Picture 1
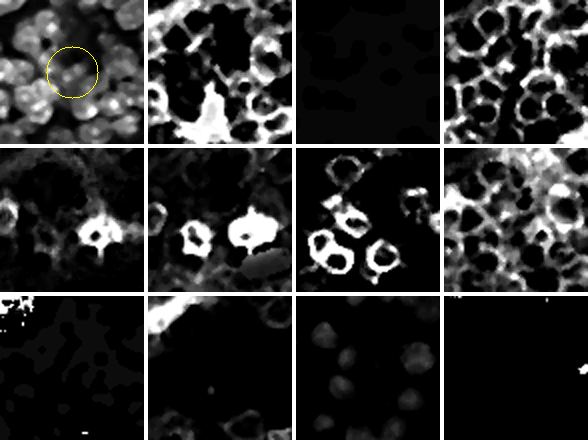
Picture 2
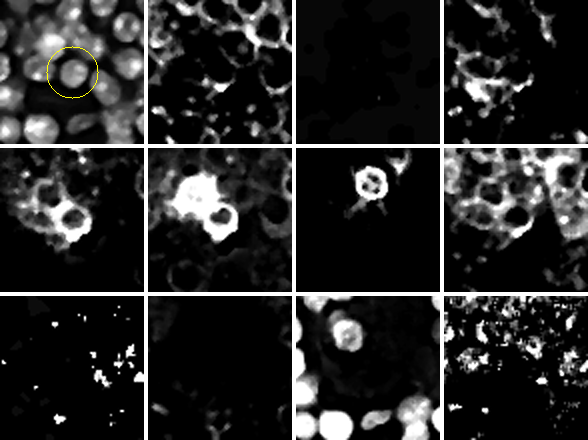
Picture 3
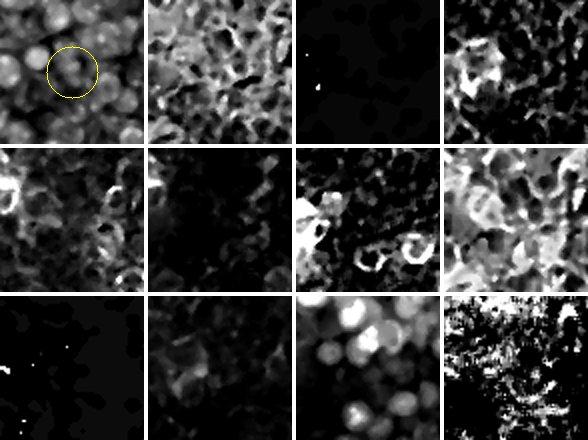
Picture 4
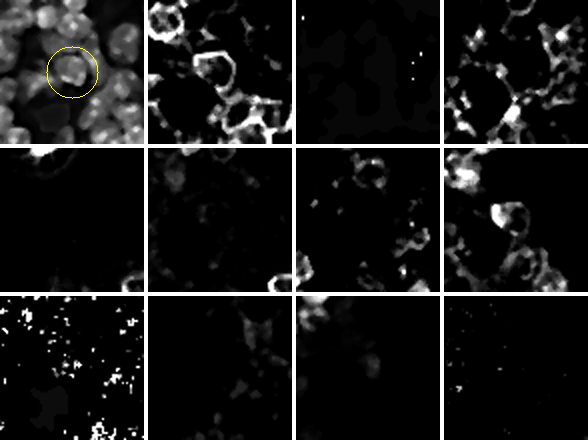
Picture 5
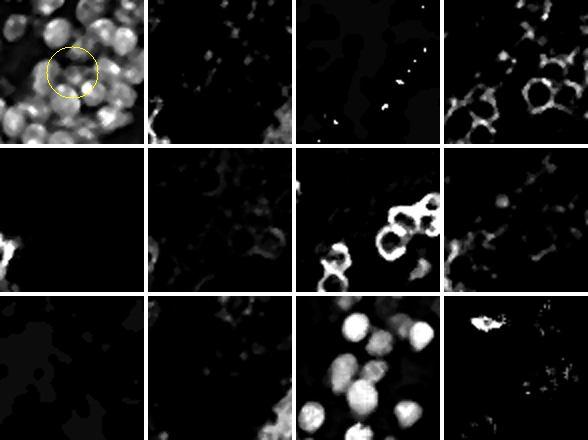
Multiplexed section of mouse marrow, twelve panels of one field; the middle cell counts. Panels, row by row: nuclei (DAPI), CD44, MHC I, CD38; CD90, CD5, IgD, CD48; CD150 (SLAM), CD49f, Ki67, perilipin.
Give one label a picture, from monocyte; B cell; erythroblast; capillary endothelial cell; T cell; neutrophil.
Picture 1: B cell
Picture 2: T cell
Picture 3: monocyte
Picture 4: monocyte
Picture 5: erythroblast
